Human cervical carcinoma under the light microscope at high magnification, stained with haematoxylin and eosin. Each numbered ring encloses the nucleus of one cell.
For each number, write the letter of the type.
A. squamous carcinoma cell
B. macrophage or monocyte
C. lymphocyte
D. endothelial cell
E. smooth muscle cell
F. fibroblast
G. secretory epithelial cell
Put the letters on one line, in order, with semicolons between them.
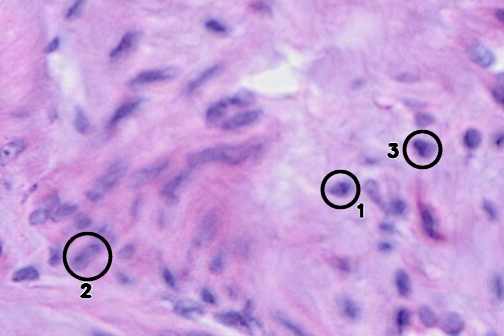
F; E; F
